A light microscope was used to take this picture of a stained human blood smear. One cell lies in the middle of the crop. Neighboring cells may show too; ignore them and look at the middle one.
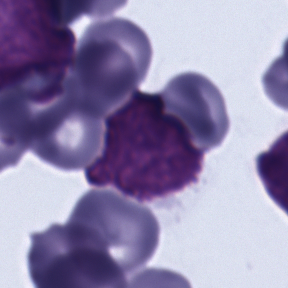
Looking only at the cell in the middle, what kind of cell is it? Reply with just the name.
smudge cell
